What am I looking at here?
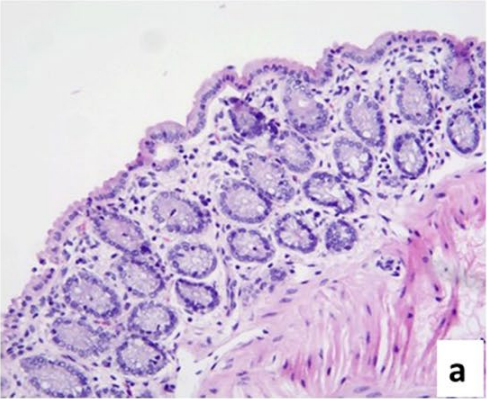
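This is intestinal mucosa with orderly glands cut in cross section, packed side by side beneath a continuous surface epithelium. Each gland is a ring of cells around a small lumen, with pale bluish mucus-laden cytoplasm and small dark nuclei at the base. The surface is lined by a single layer of tall columnar cells with a thin pink border. Between the glands lies a modest amount of loose connective tissue with scattered nuclei. Nothing in the architecture looks disrupted or inflamed.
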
